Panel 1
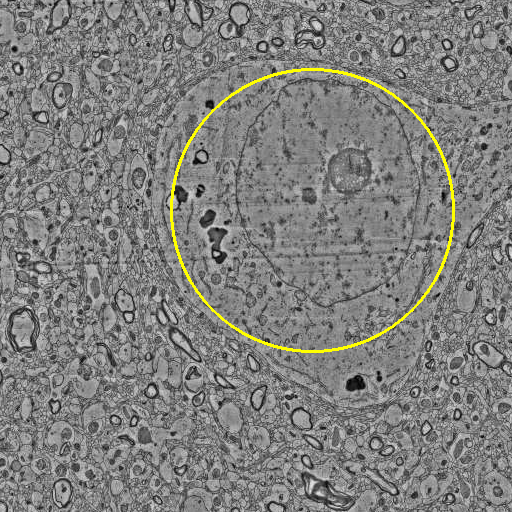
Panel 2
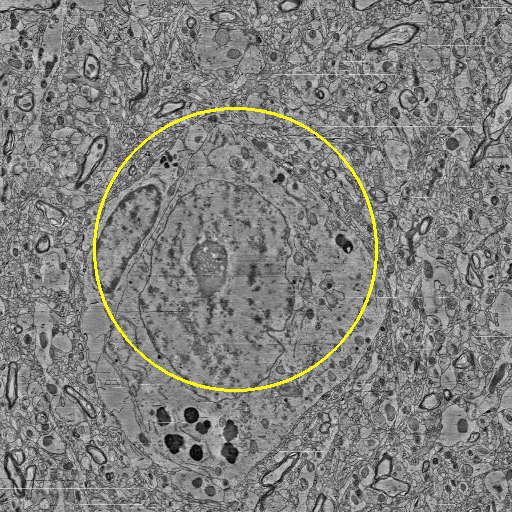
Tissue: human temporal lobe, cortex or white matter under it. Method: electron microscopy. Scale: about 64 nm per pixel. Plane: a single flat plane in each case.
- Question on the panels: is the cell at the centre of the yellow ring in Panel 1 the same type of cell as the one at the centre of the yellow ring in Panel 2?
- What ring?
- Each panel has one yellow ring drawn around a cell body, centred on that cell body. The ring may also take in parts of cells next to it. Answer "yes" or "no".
yes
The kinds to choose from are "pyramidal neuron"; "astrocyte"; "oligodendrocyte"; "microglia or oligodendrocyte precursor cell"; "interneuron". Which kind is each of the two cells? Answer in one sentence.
Each of the two pictures has a pyramidal neuron at the ring centre.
